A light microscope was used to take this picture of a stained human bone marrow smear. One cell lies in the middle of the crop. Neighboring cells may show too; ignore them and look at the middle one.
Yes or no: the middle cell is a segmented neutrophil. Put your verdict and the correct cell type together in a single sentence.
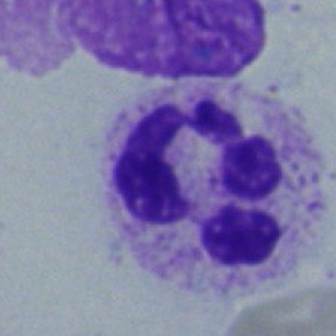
Yes, the cell centred in this crop is a segmented neutrophil.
